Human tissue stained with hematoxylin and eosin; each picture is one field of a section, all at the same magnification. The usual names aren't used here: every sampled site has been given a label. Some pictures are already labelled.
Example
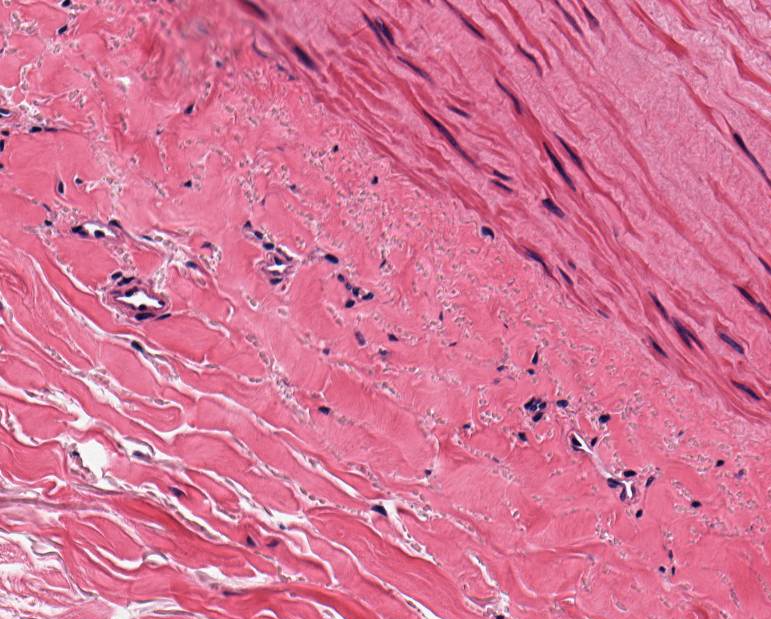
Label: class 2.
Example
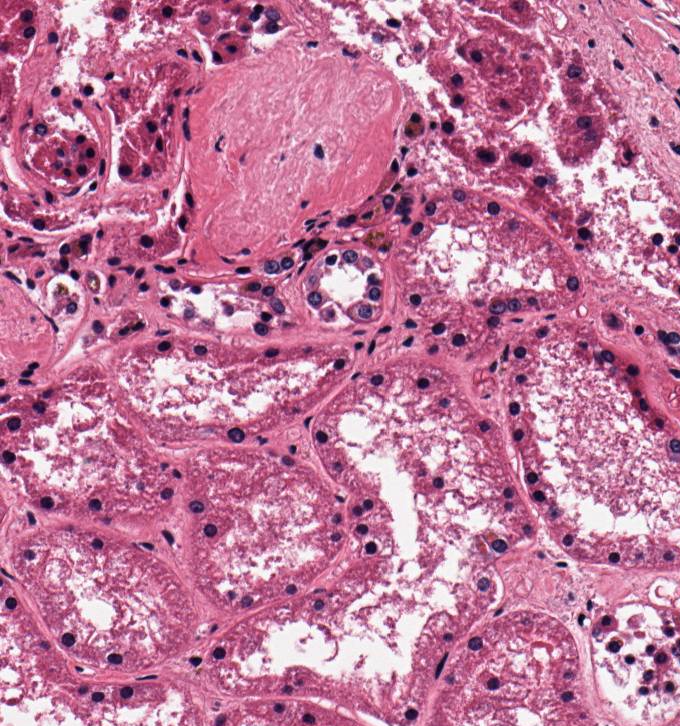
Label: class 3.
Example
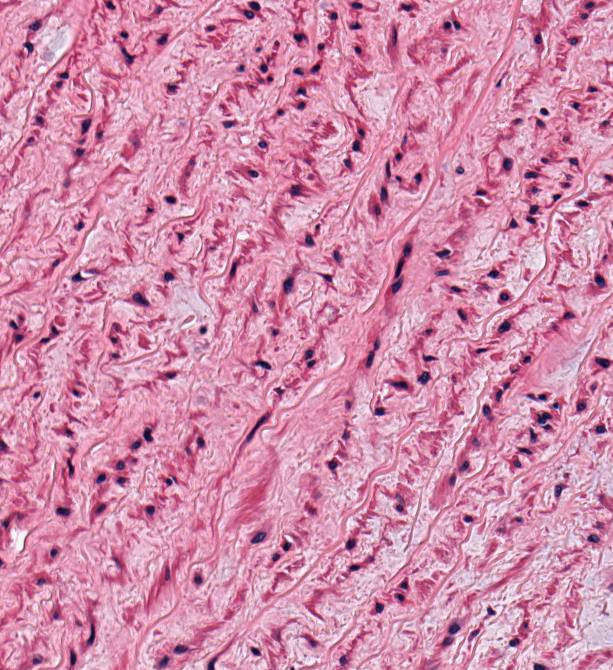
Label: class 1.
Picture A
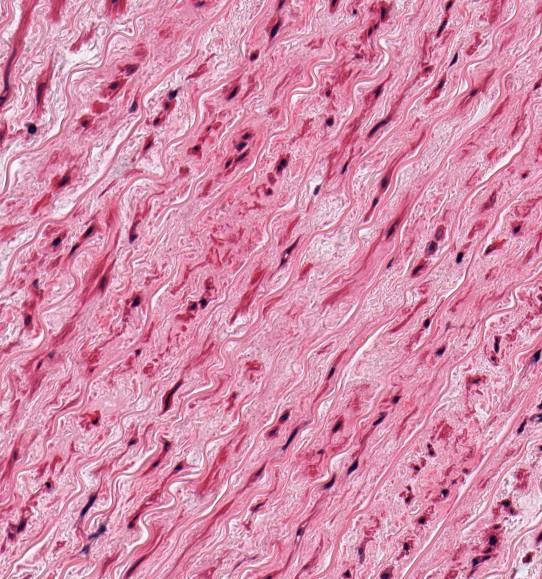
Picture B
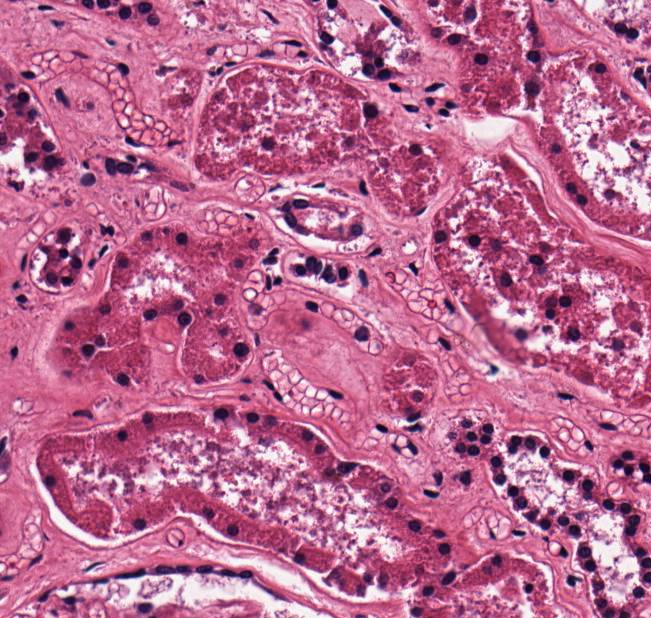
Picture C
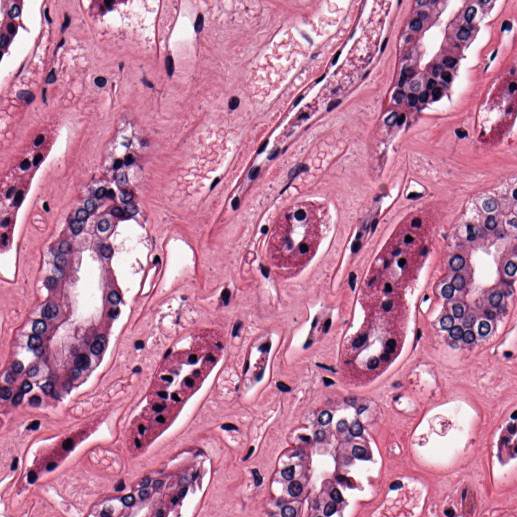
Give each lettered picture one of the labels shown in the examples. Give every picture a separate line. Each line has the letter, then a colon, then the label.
A: class 1.
B: class 3.
C: class 3.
